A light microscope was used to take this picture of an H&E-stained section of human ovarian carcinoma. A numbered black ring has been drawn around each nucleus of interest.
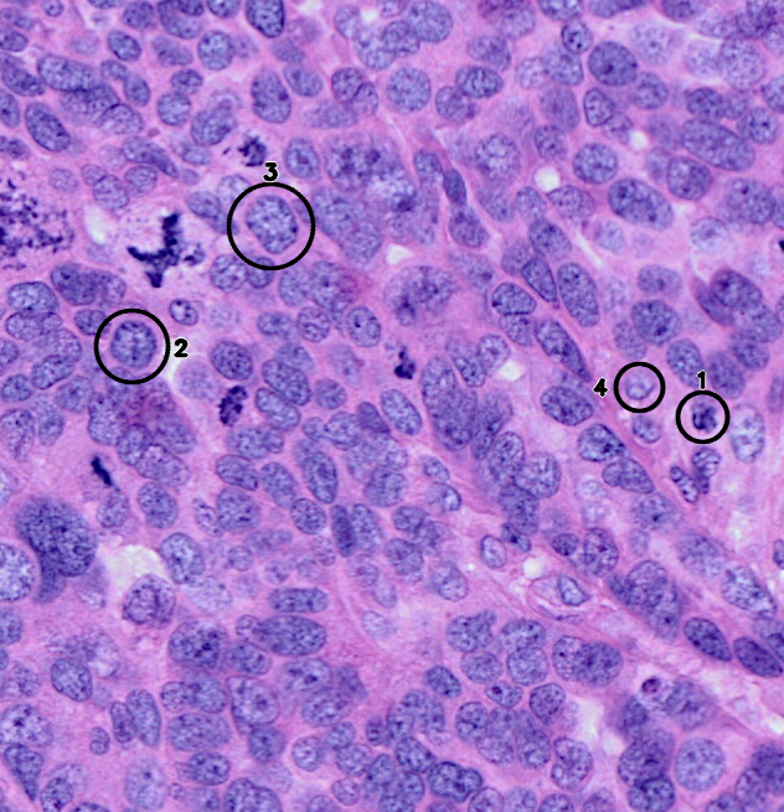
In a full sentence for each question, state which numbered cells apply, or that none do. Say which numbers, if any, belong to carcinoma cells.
The cells numbered 2 and 3 fall into the category of carcinoma cells.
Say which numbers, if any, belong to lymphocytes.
Nothing but cell 1 is a lymphocyte among the numbered ones.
